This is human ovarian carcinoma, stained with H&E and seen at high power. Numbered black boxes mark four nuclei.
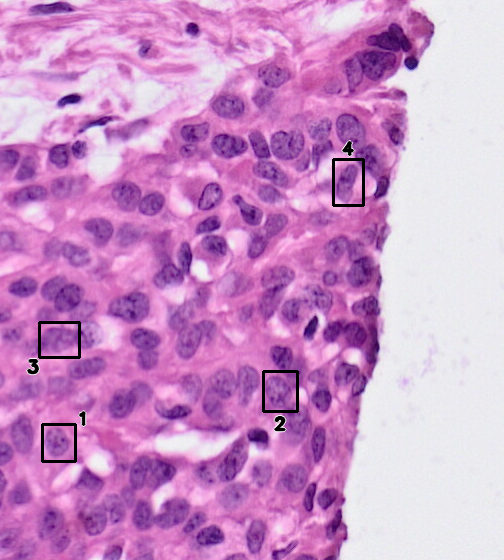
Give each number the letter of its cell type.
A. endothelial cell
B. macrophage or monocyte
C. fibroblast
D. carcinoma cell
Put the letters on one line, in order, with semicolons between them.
D; D; D; B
